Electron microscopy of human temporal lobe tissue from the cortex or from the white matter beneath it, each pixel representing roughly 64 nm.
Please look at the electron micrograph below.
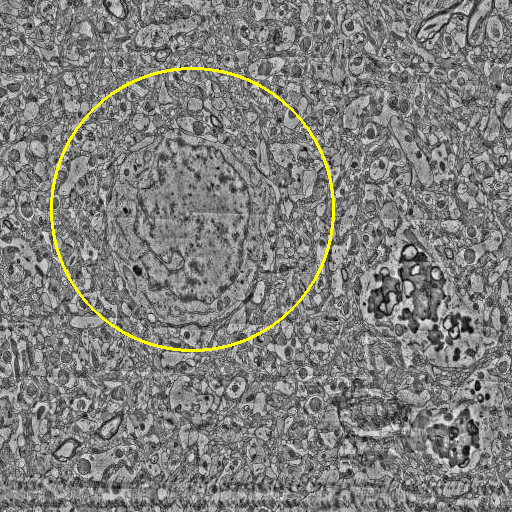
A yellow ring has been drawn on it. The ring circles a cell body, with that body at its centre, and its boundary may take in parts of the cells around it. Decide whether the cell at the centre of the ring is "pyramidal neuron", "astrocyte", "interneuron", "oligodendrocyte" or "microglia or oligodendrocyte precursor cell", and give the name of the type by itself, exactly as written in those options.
interneuron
